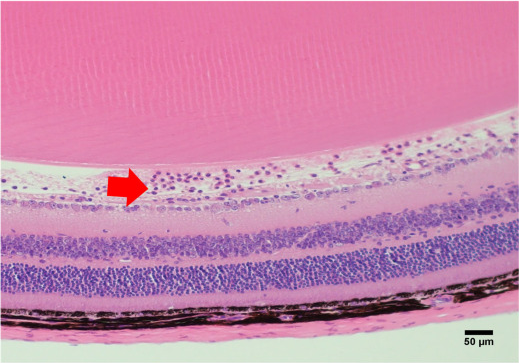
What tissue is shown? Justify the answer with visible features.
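Retinal structure. Several parallel layers of tissue with alternating bands of nuclei and pale pink fibrous zones. A dark brown-black pigmented band runs along the bottom edge. Two thick bands of tightly packed round purple nuclei.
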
